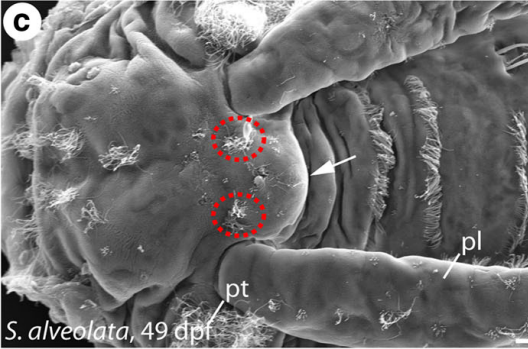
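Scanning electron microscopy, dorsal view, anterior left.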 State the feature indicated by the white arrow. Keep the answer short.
Larval median organ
